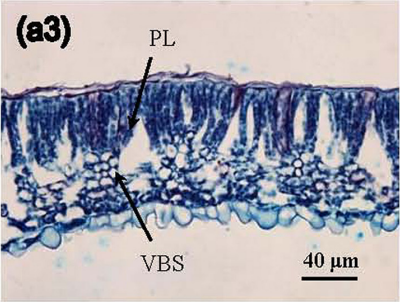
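Transverse section of a leaf blade showing a single layer of long, narrow, columnar palisade cells standing side by side beneath the upper epidermis. Directly below the palisade layer lie clusters of small rounded bundle sheath cells around the minor veins. Beneath them is loosely arranged spongy tissue with irregular cells and air spaces, bounded by a lower epidermis of bulging rounded cells. The cells stain mainly blue, with a thin reddish layer along the upper surface.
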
